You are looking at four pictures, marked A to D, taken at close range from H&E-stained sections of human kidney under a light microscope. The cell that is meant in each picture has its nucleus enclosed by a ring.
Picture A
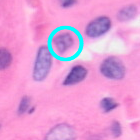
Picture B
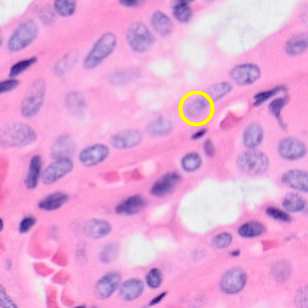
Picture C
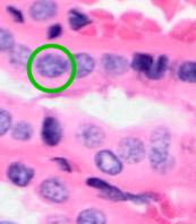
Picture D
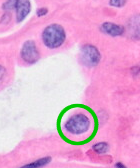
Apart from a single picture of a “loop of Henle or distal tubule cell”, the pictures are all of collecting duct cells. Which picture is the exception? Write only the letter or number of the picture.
D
